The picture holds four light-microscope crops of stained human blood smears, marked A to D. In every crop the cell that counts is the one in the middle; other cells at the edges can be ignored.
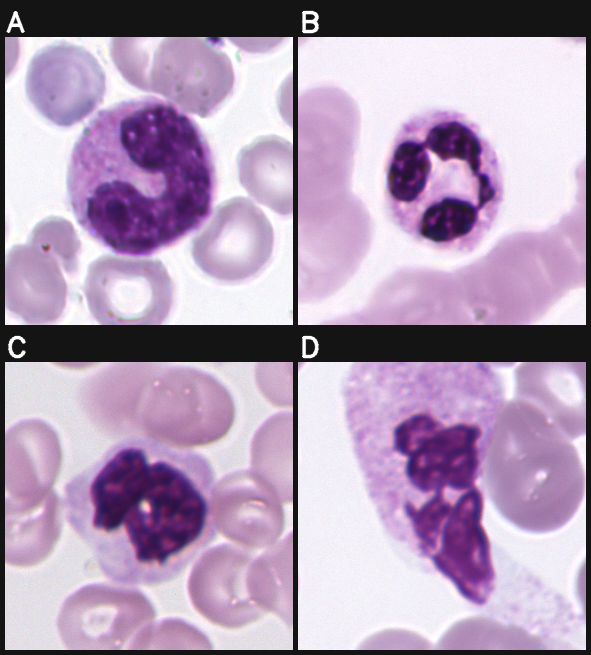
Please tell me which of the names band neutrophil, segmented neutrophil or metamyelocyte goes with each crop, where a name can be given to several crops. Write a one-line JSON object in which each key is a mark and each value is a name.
{"A": "band neutrophil", "B": "segmented neutrophil", "C": "segmented neutrophil", "D": "segmented neutrophil"}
